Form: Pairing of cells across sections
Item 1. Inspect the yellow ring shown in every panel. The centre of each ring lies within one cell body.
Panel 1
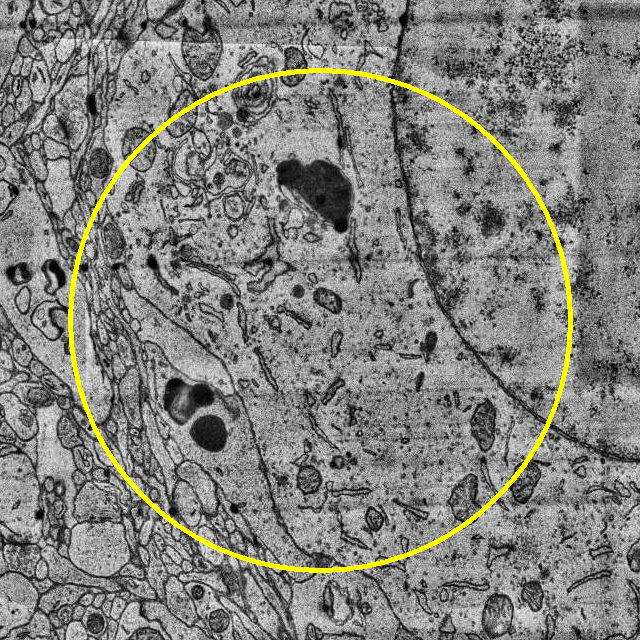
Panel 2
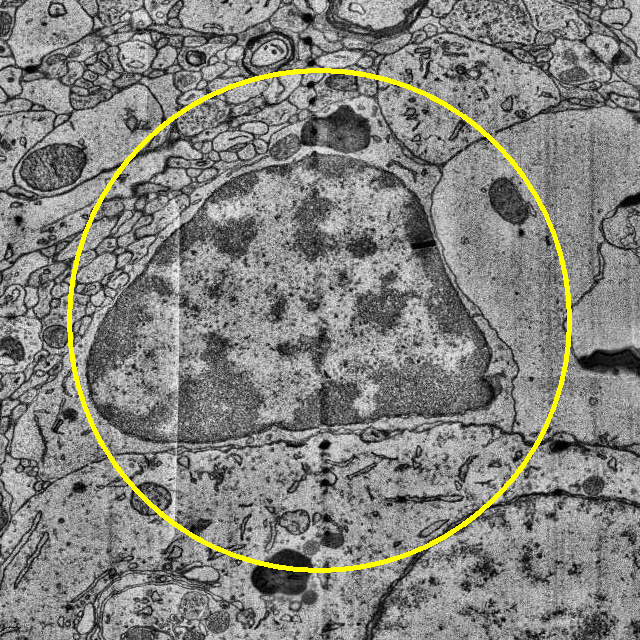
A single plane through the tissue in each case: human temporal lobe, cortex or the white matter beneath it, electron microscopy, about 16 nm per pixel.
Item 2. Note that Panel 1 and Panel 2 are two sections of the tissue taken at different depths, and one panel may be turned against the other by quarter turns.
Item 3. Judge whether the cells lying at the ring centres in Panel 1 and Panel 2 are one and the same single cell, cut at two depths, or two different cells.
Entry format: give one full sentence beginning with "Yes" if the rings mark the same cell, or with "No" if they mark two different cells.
Yes, the two marked outlines come from one and the same cell.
